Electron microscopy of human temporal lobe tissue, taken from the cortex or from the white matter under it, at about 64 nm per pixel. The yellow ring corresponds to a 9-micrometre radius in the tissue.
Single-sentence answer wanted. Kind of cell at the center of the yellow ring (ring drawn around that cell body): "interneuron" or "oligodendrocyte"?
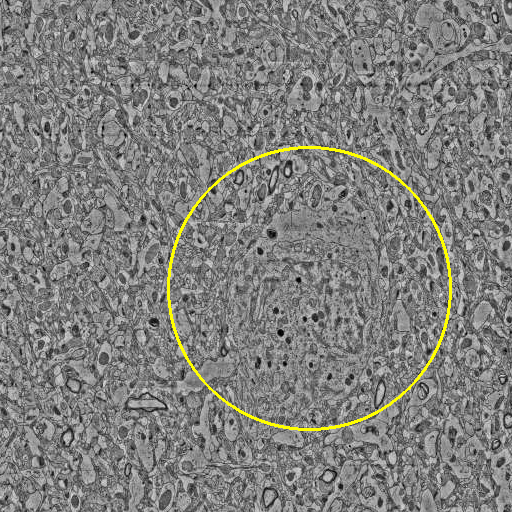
The cell centered in the ring is an interneuron.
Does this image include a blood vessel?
No.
